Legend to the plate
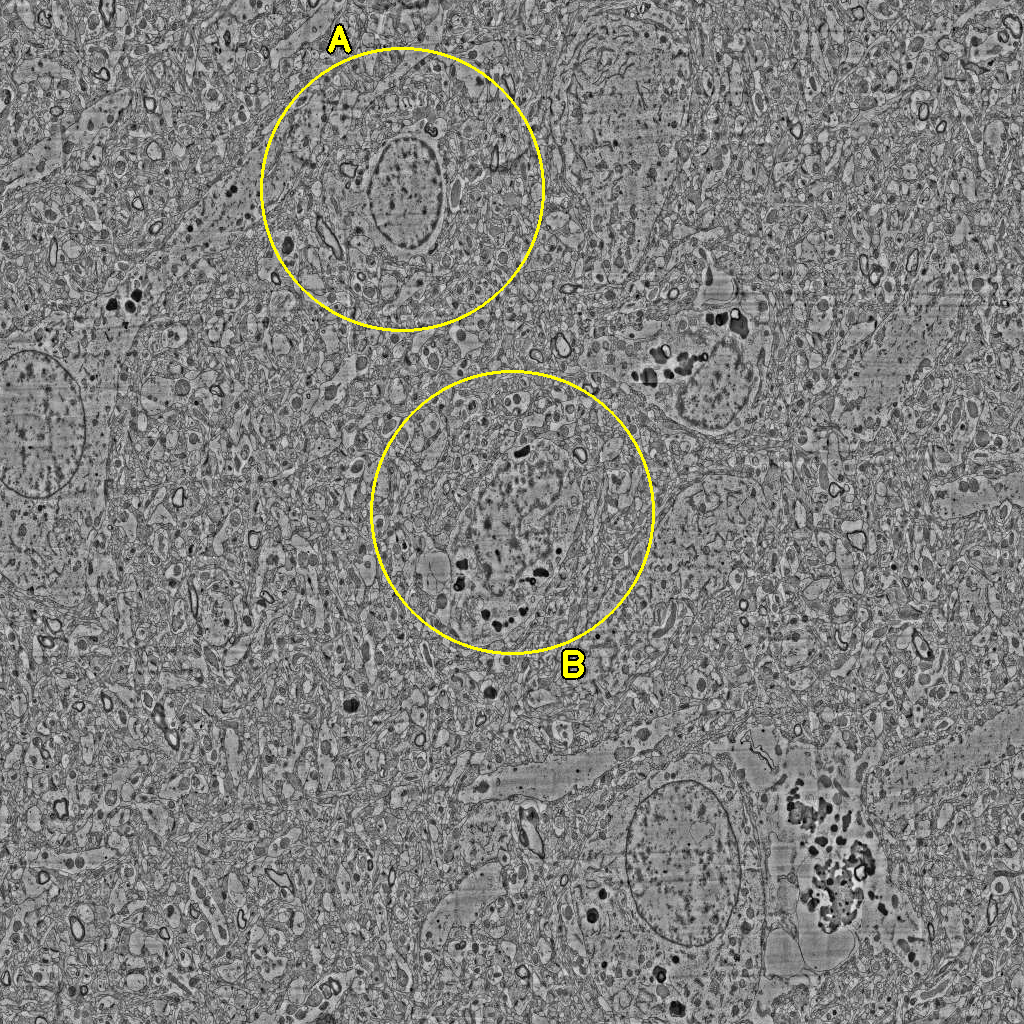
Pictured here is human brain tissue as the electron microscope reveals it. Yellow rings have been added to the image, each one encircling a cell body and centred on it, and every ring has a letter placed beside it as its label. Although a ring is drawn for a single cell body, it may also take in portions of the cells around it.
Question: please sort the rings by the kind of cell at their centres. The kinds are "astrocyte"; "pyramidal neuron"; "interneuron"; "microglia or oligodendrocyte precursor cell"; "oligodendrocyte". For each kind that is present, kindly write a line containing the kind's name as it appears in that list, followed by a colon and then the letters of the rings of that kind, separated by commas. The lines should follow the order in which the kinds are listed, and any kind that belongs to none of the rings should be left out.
interneuron: B
microglia or oligodendrocyte precursor cell: A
